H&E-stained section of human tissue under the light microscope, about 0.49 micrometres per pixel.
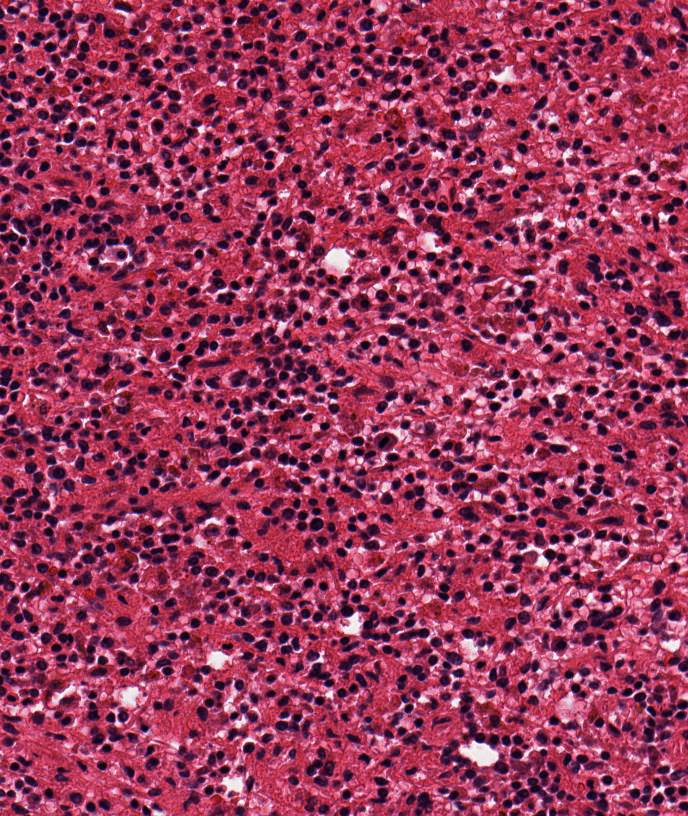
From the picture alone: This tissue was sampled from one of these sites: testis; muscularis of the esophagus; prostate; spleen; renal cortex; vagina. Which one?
spleen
